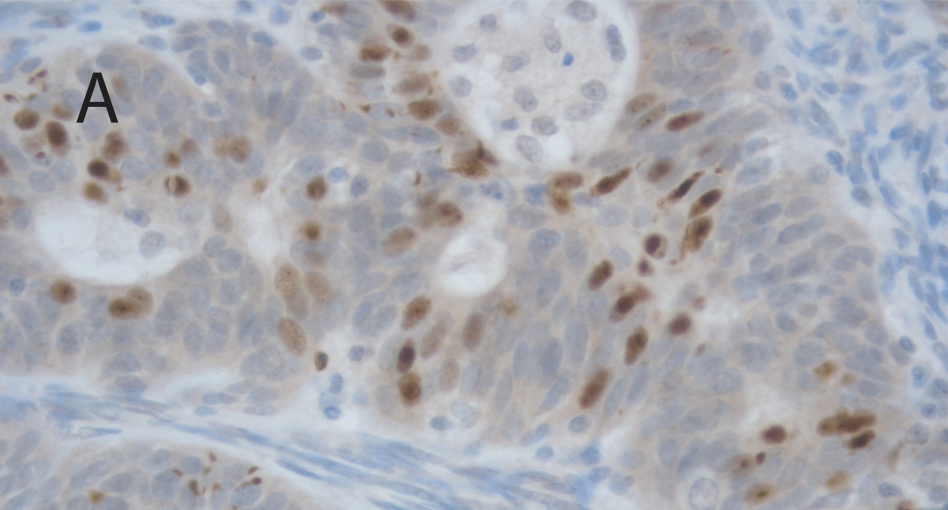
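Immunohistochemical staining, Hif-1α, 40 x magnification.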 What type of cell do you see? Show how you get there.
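Crowded nests of epithelial cells with enlarged, oval, pleomorphic nuclei. Nests are separated by bands of spindle-shaped stromal cells. Some nests contain gland-like spaces. That points to this answer: cancer cells.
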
